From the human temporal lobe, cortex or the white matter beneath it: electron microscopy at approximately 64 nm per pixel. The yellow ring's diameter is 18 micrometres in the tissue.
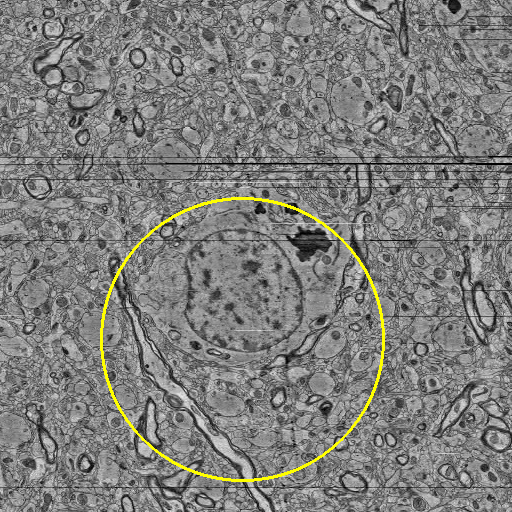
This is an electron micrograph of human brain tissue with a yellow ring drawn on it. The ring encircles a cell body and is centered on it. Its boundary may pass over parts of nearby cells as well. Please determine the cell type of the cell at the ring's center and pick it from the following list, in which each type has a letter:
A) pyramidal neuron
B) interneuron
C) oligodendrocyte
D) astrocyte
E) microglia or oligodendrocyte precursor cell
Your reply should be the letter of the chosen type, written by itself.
D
